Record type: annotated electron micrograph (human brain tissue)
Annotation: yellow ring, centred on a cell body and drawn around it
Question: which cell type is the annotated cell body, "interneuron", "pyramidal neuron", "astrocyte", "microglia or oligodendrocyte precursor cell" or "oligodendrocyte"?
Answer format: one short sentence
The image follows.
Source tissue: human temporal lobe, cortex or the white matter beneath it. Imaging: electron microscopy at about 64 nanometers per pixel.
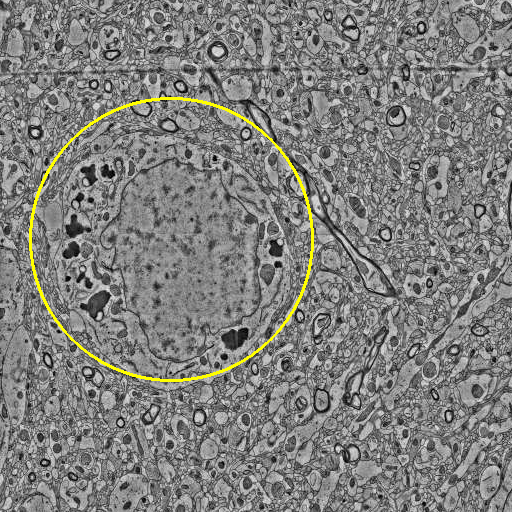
The annotated cell body is that of an interneuron.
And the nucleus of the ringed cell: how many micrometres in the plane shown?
Roughly 13 by 10 micrometres is the size of the nucleus in this plane.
